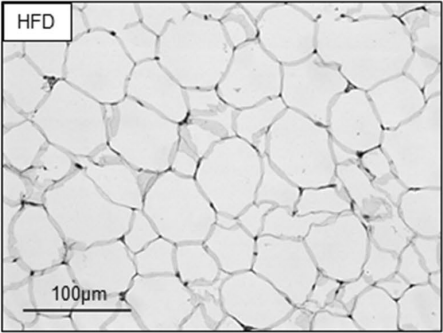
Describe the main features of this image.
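White fat made of large adipocytes packed closely together, each appearing as a clear, empty space where the lipid was held. The cells are round to polygonal and vary in size, separated by thin pale walls of cytoplasm. Small dark, flattened nuclei sit at the edges of the cells, often where several cells meet.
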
